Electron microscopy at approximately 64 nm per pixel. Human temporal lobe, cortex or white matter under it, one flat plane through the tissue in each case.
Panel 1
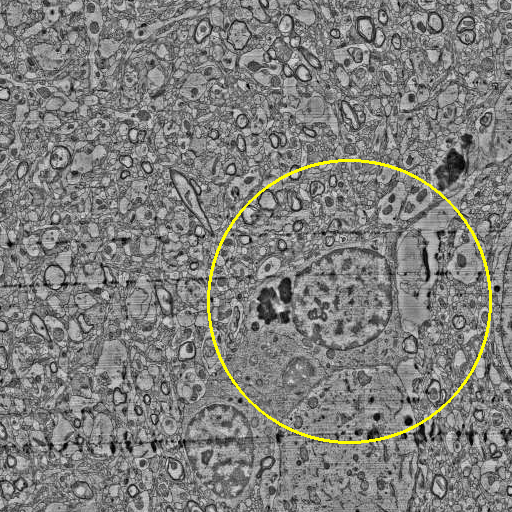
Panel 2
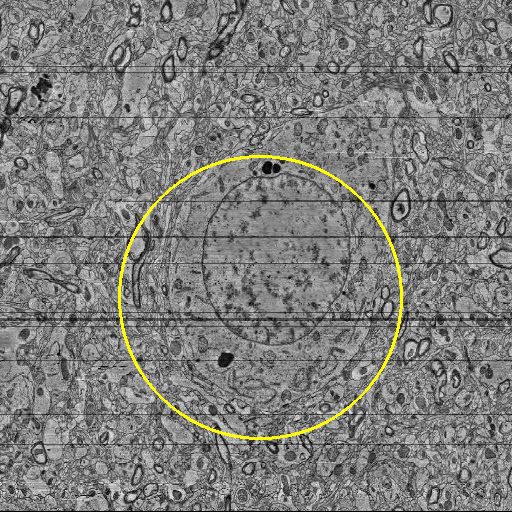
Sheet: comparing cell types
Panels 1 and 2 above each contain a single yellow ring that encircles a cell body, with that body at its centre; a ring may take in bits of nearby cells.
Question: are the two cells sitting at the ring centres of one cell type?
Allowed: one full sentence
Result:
No, the ring-centre cells in Panel 1 and Panel 2 are of two types.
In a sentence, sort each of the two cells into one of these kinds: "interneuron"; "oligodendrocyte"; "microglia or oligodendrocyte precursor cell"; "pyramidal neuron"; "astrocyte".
The first of the two cells is an oligodendrocyte, and the second is a pyramidal neuron.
